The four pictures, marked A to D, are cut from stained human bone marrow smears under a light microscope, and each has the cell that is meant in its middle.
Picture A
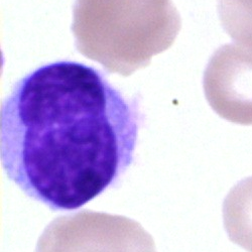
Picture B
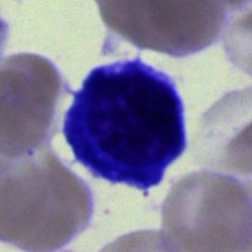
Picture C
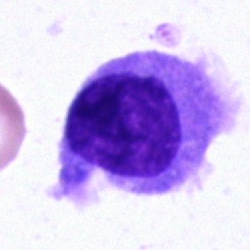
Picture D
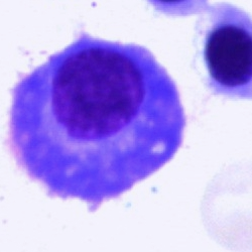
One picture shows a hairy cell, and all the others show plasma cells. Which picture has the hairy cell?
A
